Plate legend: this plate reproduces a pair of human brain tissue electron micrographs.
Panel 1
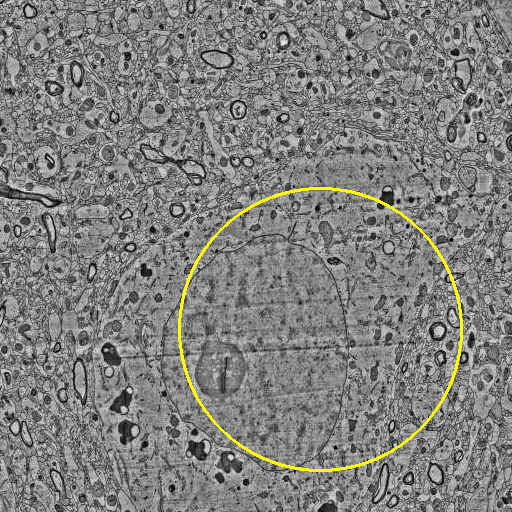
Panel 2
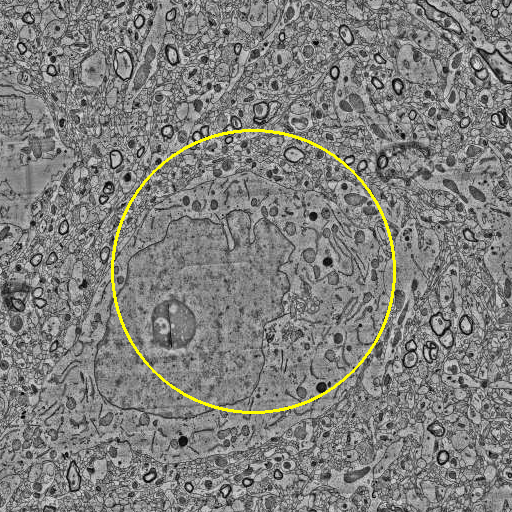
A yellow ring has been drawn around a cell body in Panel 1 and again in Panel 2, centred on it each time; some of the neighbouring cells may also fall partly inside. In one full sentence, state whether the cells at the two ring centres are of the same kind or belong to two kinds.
The ring-centred cells of Panel 1 and Panel 2 belong to two kinds.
